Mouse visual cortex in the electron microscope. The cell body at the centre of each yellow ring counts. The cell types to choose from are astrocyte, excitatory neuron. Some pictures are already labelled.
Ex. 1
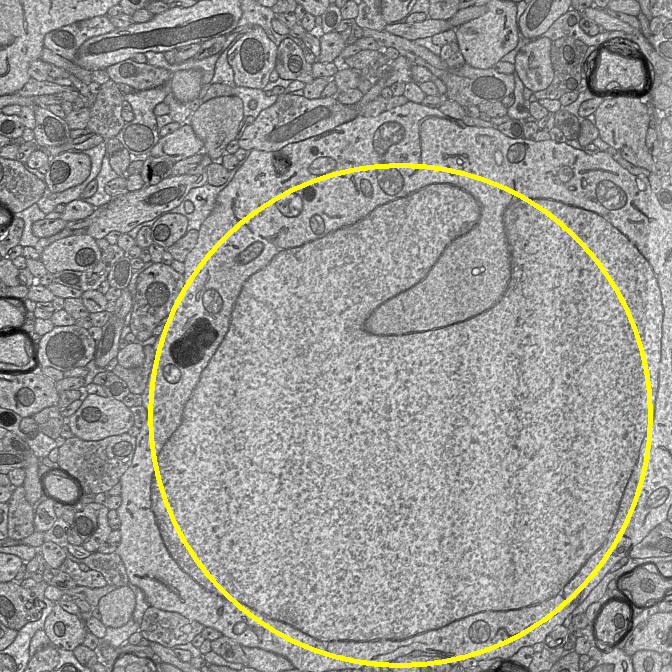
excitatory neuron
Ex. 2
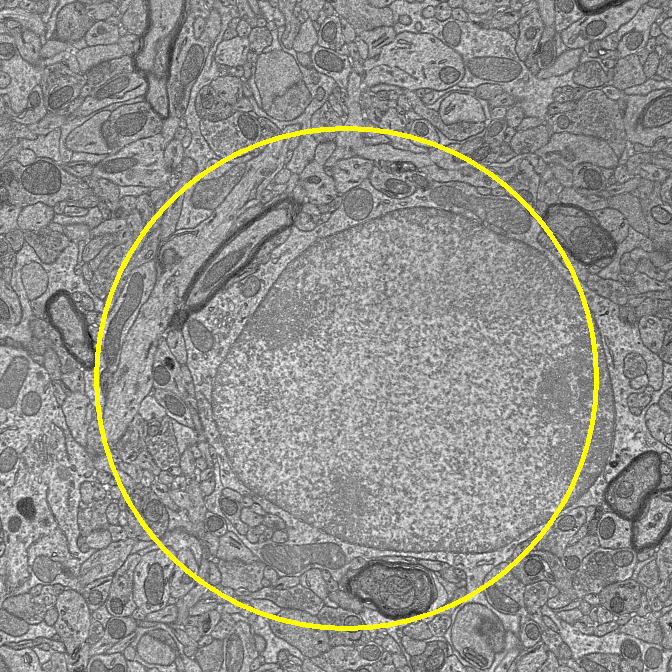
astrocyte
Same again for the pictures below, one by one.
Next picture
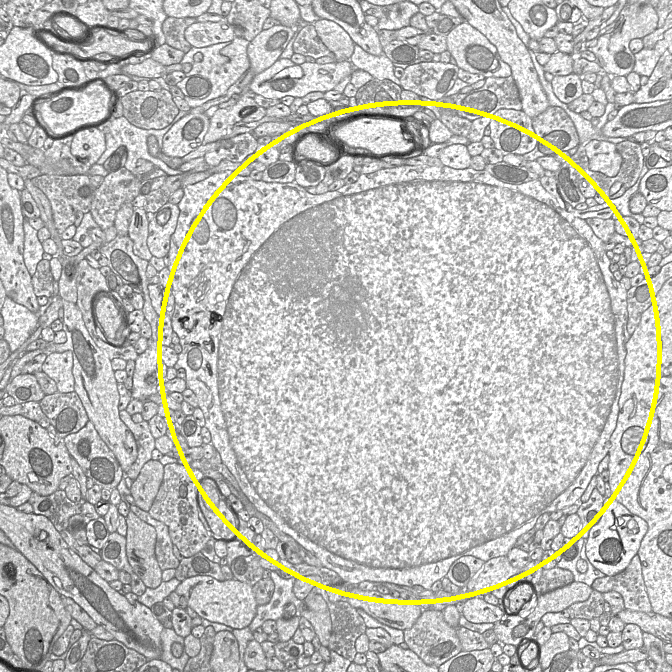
astrocyte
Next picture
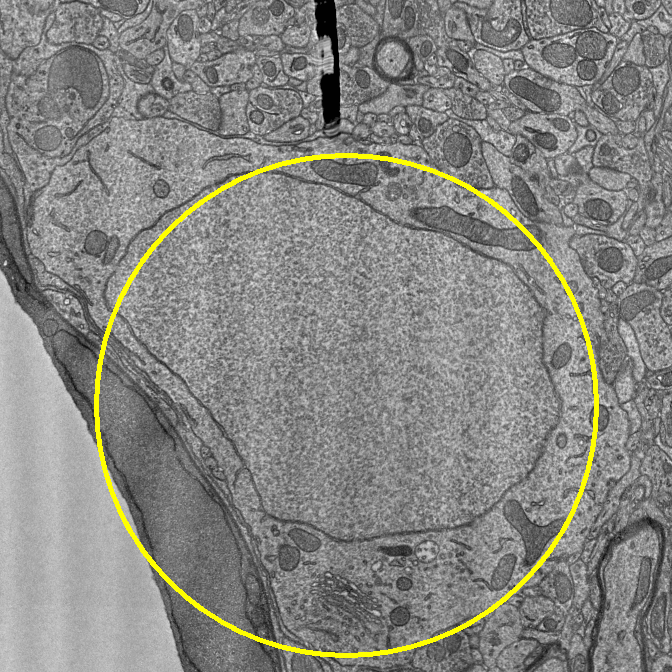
excitatory neuron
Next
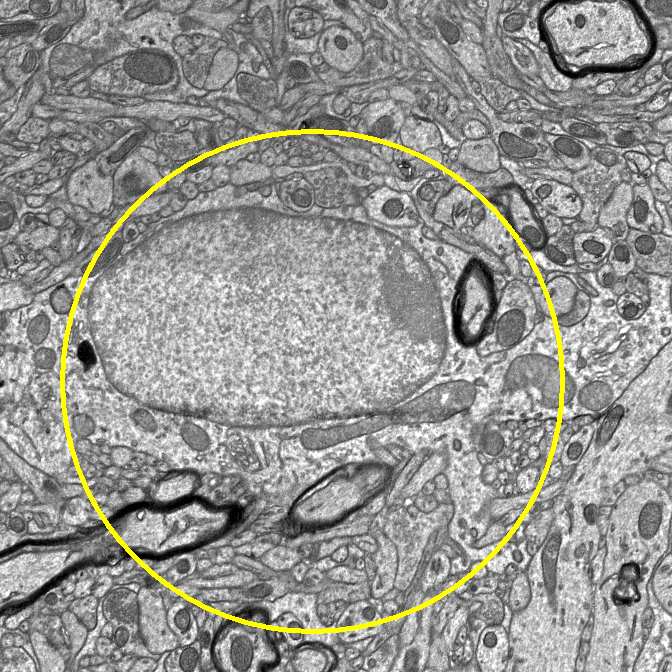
astrocyte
